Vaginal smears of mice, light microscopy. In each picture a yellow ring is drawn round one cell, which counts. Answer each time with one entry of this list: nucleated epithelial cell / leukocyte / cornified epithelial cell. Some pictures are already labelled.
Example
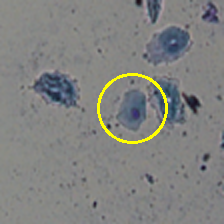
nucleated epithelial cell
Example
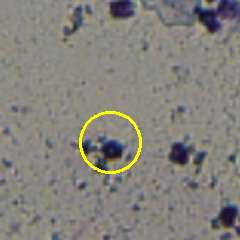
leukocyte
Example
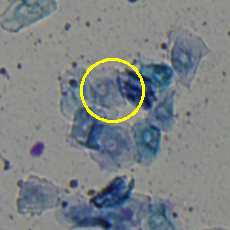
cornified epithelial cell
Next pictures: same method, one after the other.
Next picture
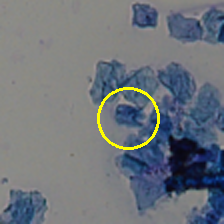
cornified epithelial cell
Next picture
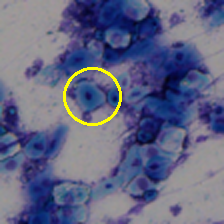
nucleated epithelial cell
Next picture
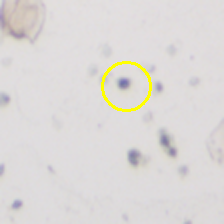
leukocyte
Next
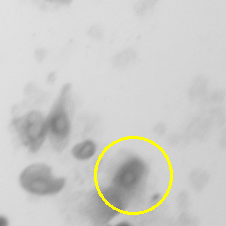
nucleated epithelial cell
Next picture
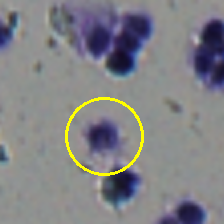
leukocyte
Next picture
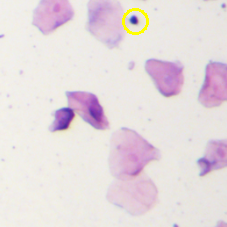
leukocyte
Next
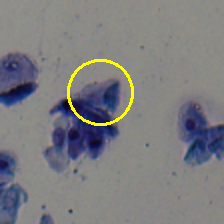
cornified epithelial cell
